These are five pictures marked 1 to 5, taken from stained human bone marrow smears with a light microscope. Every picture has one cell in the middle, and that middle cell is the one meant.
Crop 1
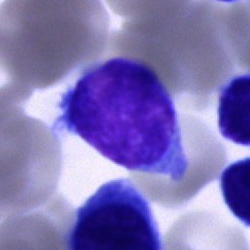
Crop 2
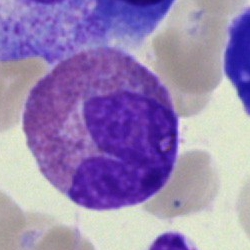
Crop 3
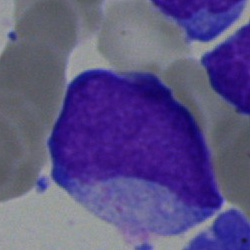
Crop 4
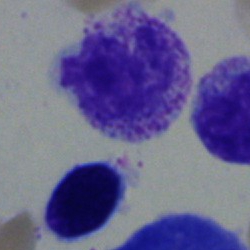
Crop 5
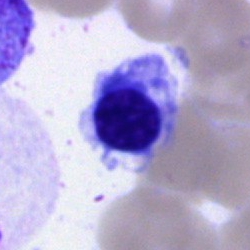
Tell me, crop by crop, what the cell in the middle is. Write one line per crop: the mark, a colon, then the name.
1: lymphocyte
2: eosinophil
3: blast
4: band neutrophil
5: normoblast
